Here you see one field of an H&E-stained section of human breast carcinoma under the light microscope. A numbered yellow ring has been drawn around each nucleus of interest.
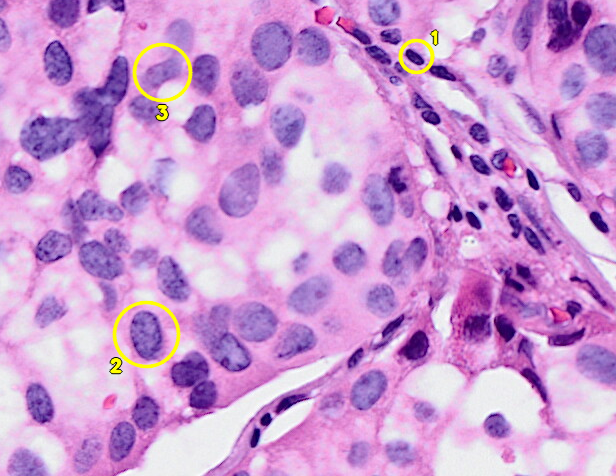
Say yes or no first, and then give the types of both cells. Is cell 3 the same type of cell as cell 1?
No, cell 3 is a carcinoma cell and cell 1 is a lymphocyte.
